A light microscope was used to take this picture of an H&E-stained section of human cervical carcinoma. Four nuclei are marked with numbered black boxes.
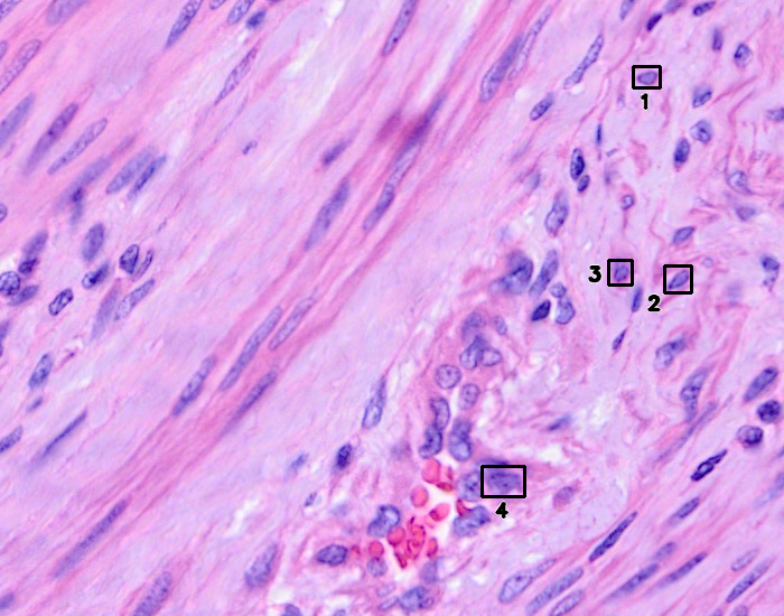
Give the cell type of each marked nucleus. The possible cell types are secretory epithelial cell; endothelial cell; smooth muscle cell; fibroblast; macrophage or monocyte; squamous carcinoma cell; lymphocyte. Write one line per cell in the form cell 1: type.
cell 1: smooth muscle cell
cell 2: smooth muscle cell
cell 3: smooth muscle cell
cell 4: endothelial cell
